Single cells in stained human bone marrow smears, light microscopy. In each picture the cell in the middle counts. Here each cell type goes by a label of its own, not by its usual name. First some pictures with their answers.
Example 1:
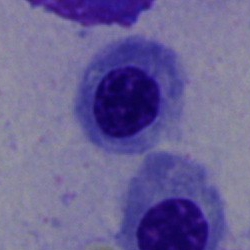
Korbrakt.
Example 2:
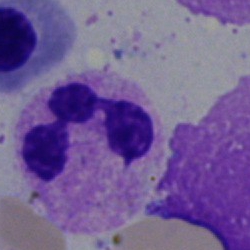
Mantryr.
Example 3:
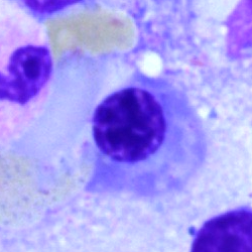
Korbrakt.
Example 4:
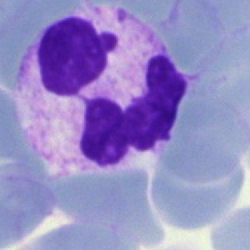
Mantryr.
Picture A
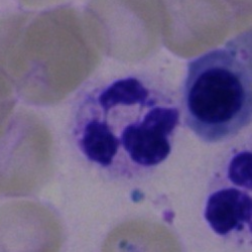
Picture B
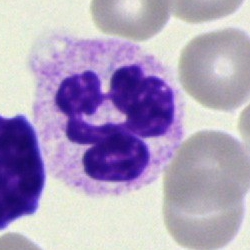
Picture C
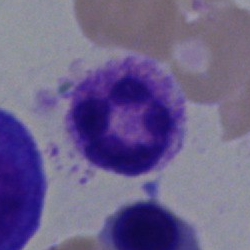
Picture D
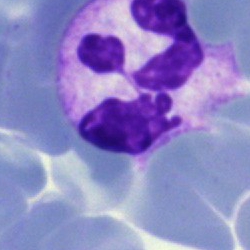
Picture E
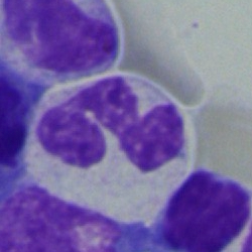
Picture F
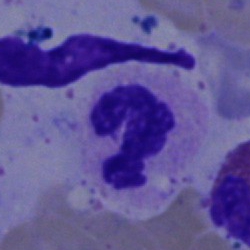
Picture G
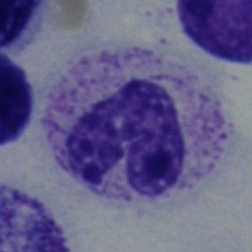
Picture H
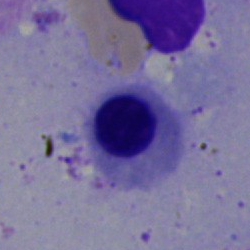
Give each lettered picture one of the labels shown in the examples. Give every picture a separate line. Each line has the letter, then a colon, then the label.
A: Mantryr.
B: Mantryr.
C: Mantryr.
D: Mantryr.
E: Mantryr.
F: Mantryr.
G: Mantryr.
H: Korbrakt.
